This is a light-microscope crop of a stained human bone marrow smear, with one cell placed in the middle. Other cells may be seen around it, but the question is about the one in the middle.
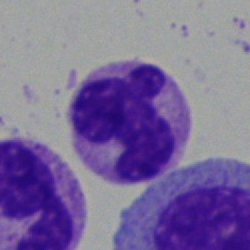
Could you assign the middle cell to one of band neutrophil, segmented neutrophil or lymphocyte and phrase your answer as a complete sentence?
The cell under consideration, at the middle of the crop, is a segmented neutrophil.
